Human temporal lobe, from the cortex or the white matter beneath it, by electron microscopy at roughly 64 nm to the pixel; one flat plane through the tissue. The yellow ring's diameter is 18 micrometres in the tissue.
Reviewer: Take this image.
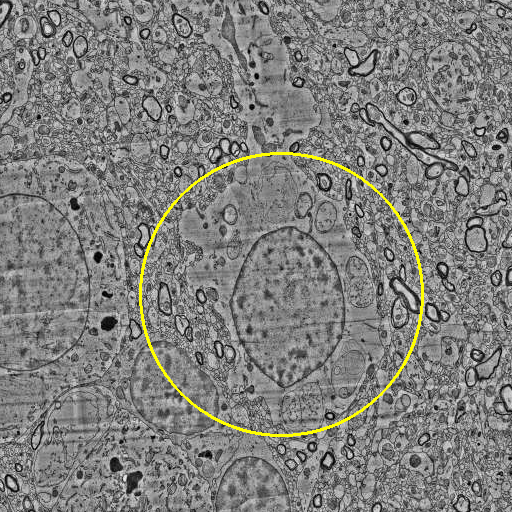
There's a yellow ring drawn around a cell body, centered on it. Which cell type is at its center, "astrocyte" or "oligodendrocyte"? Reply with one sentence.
At the center of the yellow ring is an astrocyte.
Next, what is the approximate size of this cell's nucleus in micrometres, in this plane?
The nucleus comes to roughly 10 by 7 micrometres in this plane.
